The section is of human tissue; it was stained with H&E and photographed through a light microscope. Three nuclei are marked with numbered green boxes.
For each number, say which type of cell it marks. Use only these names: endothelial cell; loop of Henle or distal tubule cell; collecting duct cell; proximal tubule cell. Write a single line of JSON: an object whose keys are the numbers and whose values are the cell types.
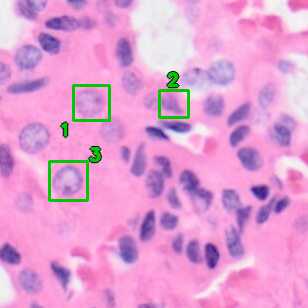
{"1": "proximal tubule cell", "2": "collecting duct cell", "3": "proximal tubule cell"}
